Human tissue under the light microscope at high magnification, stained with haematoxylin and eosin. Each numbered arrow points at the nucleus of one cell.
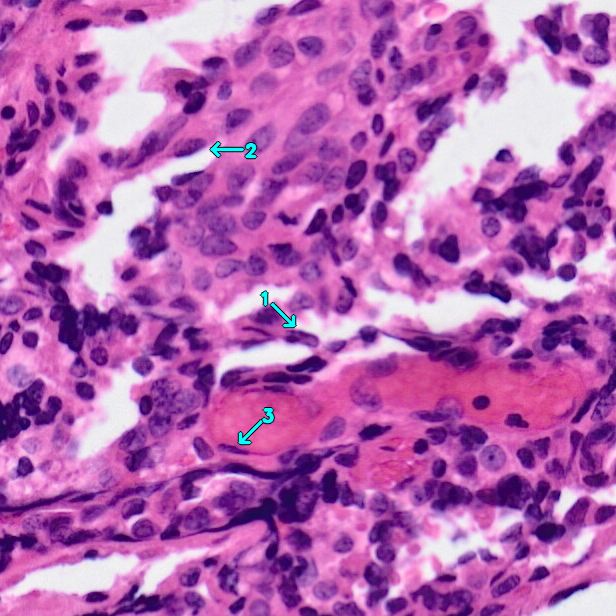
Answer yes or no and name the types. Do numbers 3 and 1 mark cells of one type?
No, cell 3 is an endothelial cell and cell 1 is a carcinoma cell.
